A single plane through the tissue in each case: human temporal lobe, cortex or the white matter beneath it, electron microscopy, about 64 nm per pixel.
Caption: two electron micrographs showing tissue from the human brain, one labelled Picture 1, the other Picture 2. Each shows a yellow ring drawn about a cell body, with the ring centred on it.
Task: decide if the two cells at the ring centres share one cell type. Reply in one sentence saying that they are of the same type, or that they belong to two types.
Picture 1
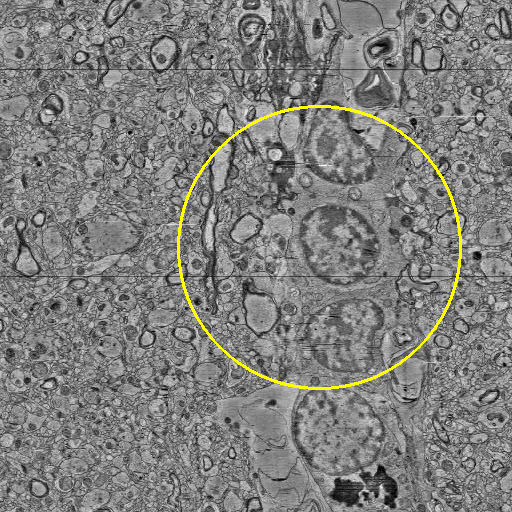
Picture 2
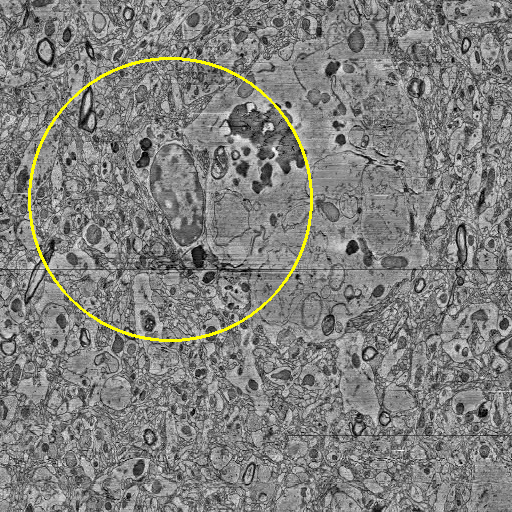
The cells at the ring centres in Picture 1 and Picture 2 belong to two types.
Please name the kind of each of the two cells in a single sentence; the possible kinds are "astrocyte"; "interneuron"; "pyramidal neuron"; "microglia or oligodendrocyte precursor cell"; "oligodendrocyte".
In the first picture the ring is centred on an oligodendrocyte, and in the second on a microglial cell or oligodendrocyte precursor cell.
